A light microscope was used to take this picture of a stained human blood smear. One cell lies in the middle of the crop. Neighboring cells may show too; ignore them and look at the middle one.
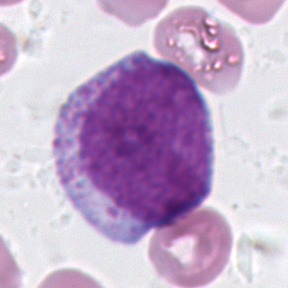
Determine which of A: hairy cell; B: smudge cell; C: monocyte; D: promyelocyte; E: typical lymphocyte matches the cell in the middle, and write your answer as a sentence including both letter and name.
The cell in the middle is a promyelocyte, and that makes option D correct.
